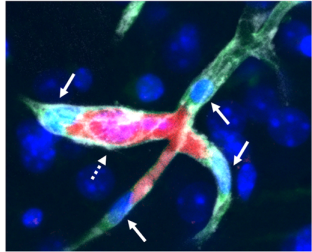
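One segment of the capillary is markedly widened and filled with red cells, while the other branches are narrower. Blue oval endothelial nuclei sit in the vessel wall and bulge inward into the lumen.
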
